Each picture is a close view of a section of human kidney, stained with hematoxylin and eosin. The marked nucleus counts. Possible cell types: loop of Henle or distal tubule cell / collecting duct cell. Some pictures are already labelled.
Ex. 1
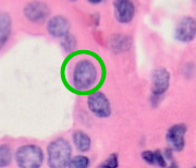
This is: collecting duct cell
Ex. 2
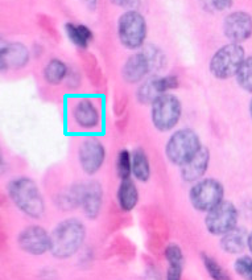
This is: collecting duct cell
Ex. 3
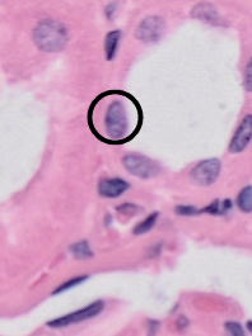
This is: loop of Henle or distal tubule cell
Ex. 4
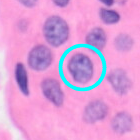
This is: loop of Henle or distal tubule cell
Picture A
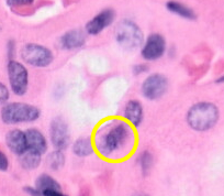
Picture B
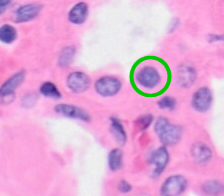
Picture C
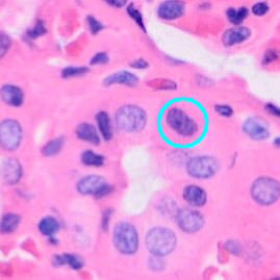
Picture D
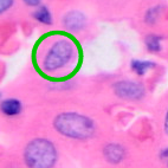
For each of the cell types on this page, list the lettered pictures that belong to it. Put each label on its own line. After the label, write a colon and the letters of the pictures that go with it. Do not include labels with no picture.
loop of Henle or distal tubule cell: B
collecting duct cell: A, C, D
